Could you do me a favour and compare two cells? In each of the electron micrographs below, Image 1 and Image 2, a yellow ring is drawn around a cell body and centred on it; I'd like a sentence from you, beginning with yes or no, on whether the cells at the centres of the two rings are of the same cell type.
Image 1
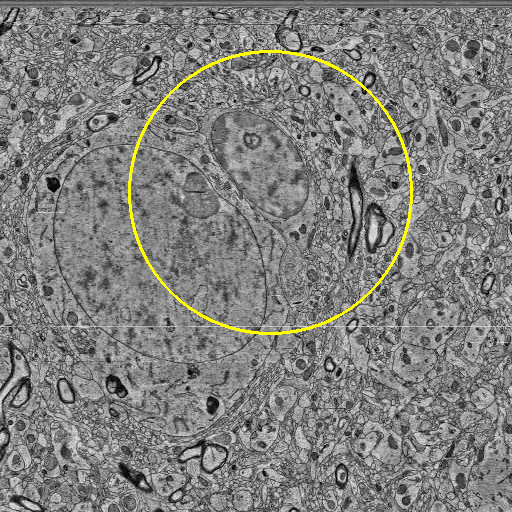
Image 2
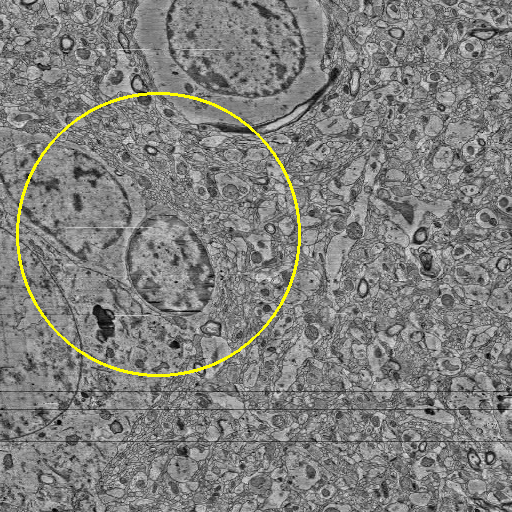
Yes, the two cells are of the same cell type.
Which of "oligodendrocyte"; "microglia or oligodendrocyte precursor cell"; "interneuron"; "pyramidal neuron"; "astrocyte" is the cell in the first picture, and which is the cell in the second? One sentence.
In both pictures the ring is centred on an oligodendrocyte.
